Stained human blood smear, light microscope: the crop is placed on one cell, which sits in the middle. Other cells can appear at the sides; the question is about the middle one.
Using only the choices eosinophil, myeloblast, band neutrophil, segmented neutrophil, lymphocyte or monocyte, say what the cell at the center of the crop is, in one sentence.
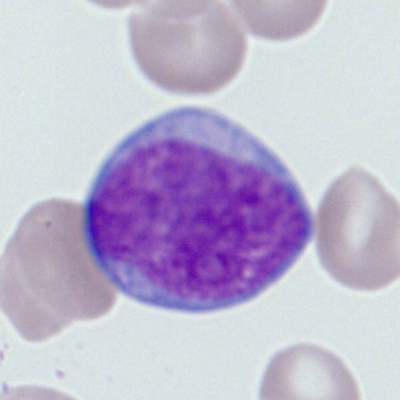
The centered cell in this crop is a myeloblast.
